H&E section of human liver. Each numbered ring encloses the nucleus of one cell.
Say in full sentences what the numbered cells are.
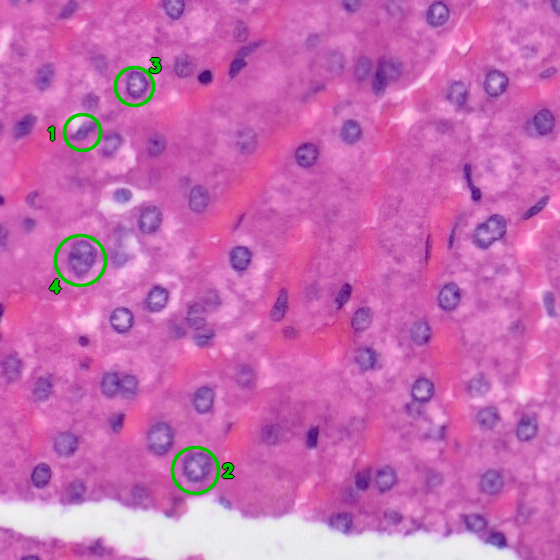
Cell 1 is an endothelial cell, cell 2 is a hepatocyte, cell 3 is a hepatocyte and cell 4 is a hepatocyte.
